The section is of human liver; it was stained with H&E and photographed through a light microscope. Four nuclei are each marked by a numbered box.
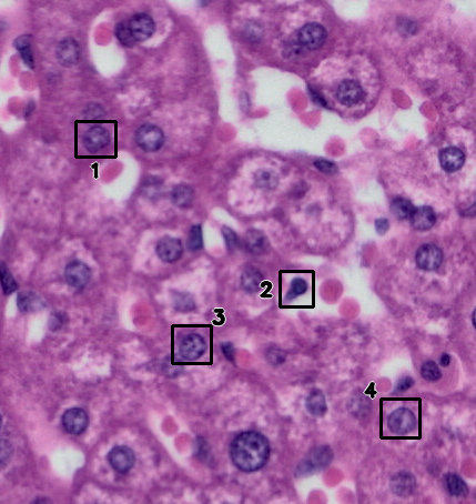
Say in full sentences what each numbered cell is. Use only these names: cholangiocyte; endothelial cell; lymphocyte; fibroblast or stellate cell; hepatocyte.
Cell 1 is a hepatocyte, cell 2 is a lymphocyte, cell 3 is a hepatocyte and cell 4 is a hepatocyte.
